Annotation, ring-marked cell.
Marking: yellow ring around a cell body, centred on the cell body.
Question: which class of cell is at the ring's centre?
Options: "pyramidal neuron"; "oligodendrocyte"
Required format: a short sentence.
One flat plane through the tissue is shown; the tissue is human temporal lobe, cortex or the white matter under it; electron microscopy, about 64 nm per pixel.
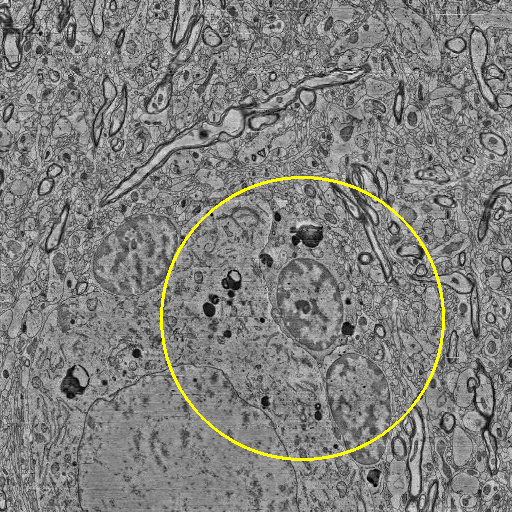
At the ring's centre is an oligodendrocyte.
